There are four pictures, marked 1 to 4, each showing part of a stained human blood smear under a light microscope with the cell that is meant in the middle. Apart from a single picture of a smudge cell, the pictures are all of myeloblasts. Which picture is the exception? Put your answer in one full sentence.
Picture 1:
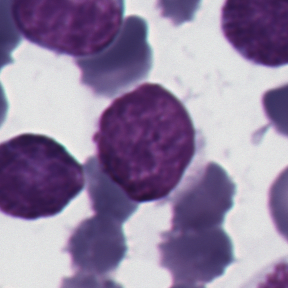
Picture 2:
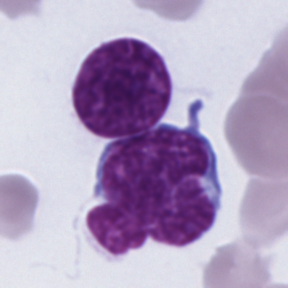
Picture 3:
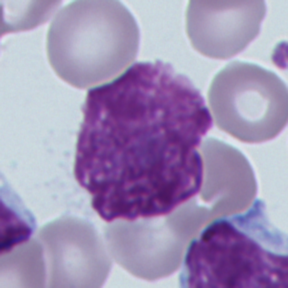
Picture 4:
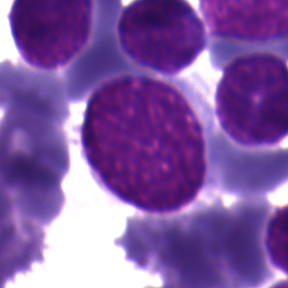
The cell in picture 3 is the smudge cell.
